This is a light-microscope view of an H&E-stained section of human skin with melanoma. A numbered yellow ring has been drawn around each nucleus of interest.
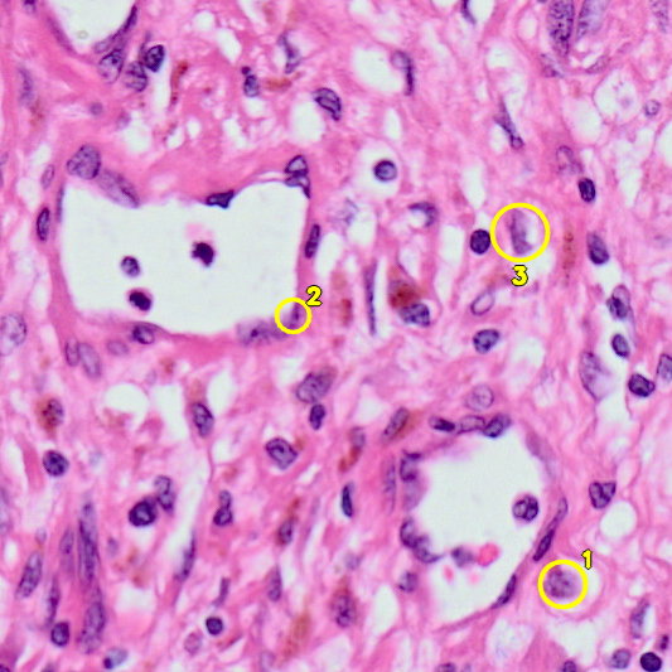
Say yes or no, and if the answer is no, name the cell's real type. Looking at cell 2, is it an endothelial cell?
Yes.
